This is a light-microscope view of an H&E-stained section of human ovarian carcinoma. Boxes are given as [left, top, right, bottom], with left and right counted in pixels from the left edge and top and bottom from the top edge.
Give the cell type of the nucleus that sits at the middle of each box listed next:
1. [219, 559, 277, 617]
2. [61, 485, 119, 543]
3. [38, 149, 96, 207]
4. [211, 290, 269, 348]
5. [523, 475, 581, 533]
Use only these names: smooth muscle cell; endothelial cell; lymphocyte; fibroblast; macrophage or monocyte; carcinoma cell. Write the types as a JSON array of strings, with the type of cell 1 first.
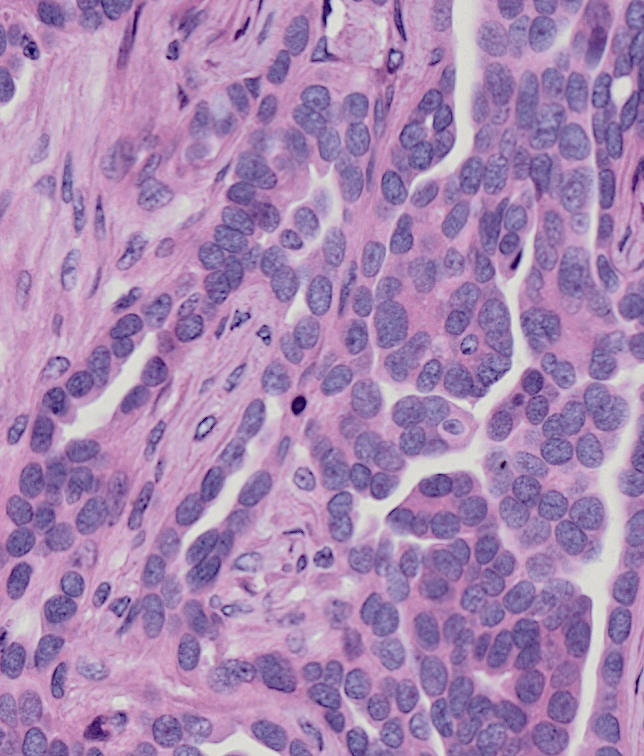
["fibroblast", "carcinoma cell", "fibroblast", "fibroblast", "carcinoma cell"]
